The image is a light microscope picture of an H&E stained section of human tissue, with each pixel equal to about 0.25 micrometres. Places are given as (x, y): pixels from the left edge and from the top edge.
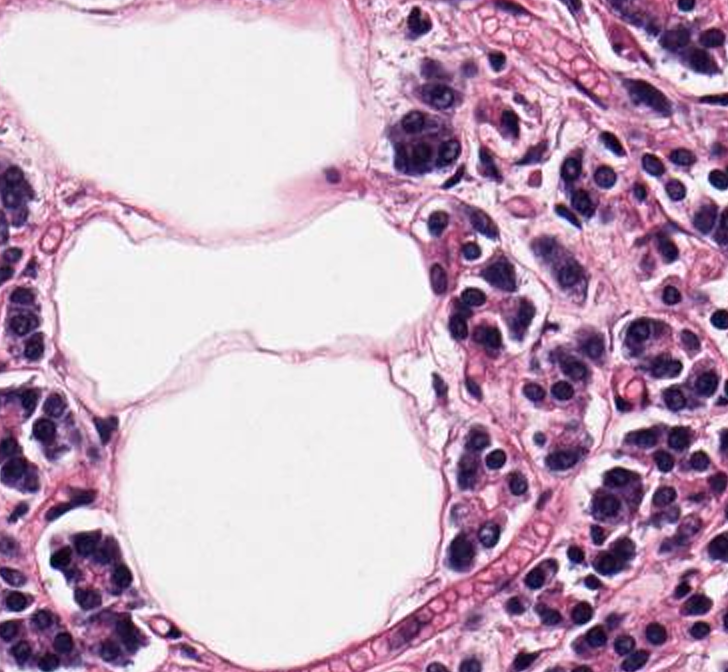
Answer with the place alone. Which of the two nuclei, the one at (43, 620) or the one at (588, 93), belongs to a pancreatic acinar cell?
(43, 620)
